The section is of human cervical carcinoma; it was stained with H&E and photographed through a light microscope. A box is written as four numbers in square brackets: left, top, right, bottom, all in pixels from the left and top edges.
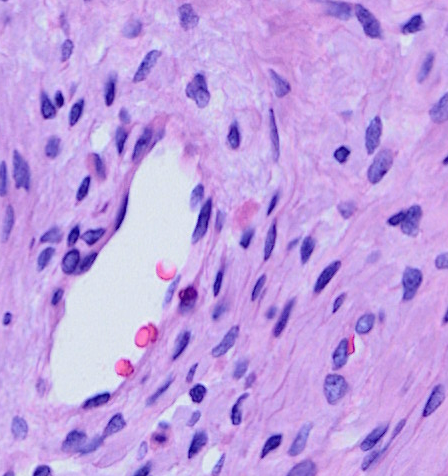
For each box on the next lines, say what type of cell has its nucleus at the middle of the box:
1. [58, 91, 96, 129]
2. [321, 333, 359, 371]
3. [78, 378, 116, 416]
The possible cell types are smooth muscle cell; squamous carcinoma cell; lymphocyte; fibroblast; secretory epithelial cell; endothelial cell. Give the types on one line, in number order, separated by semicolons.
fibroblast; endothelial cell; endothelial cell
